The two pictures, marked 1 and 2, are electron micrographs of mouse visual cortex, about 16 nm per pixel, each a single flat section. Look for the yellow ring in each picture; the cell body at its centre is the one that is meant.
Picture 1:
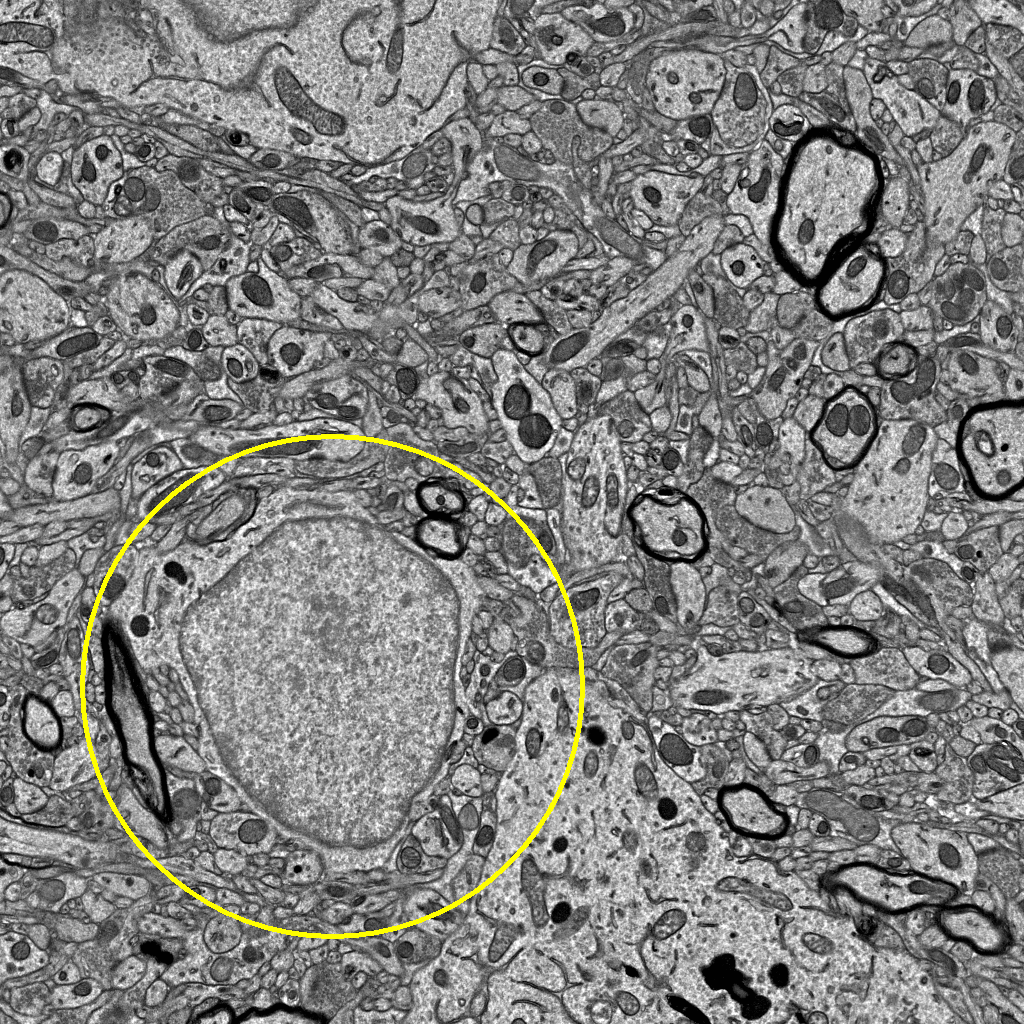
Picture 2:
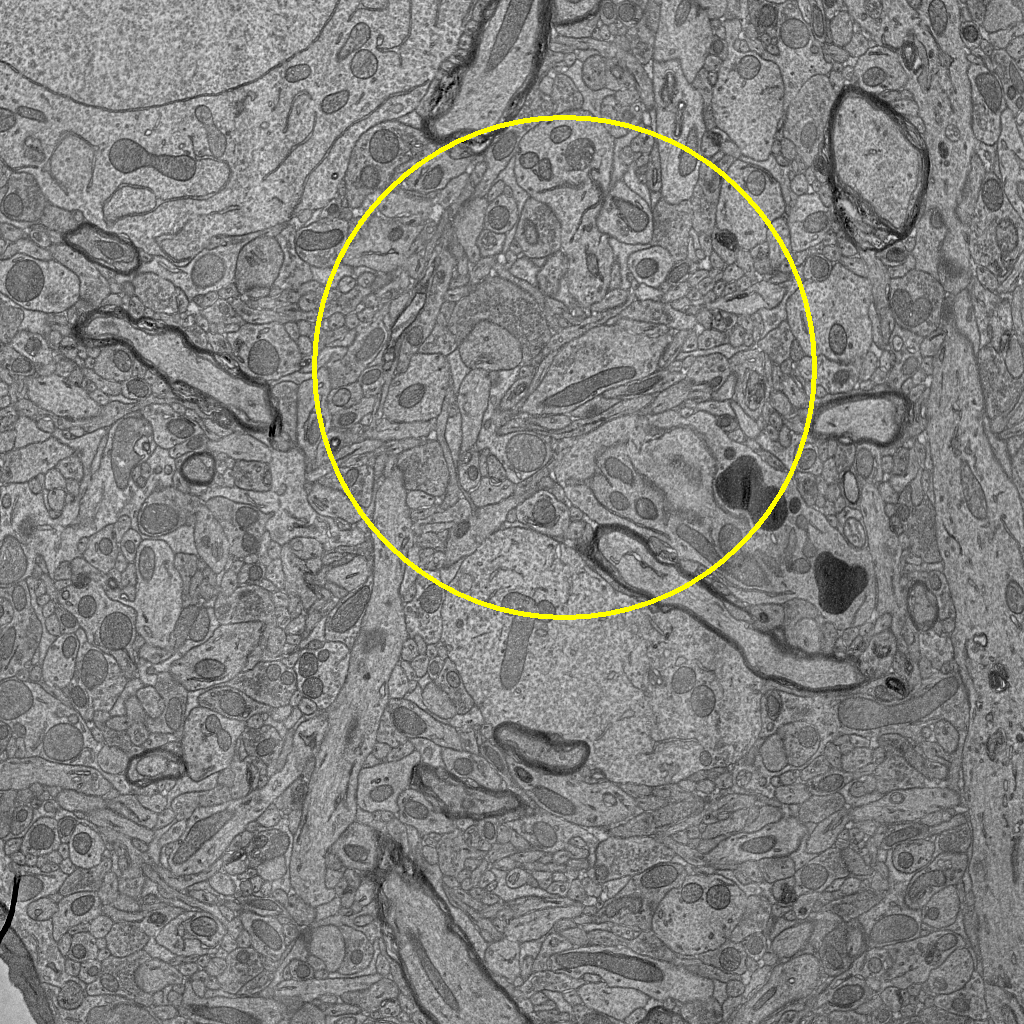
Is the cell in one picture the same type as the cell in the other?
No, picture 1 shows an oligodendrocyte precursor cell and picture 2 shows a microglial cell.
